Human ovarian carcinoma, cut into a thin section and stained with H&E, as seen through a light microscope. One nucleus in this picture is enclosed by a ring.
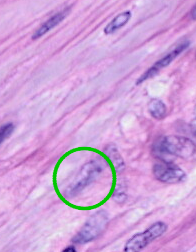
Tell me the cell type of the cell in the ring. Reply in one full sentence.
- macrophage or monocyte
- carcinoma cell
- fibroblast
Speaking plainly, the cell in the ring is nothing other than a fibroblast.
